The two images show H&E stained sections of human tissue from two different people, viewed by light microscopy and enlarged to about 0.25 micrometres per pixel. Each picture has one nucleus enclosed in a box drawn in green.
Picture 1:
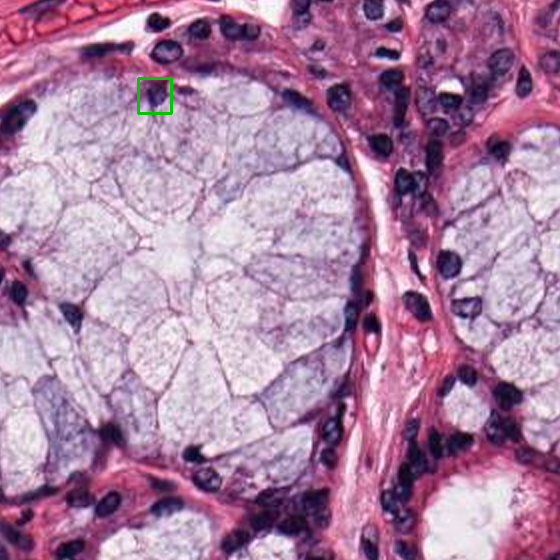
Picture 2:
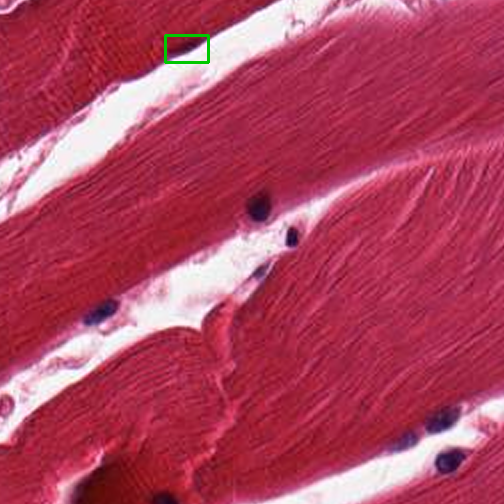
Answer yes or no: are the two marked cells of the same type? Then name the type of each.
No, the first is a mucous gland cell and the second a skeletal muscle fibre.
